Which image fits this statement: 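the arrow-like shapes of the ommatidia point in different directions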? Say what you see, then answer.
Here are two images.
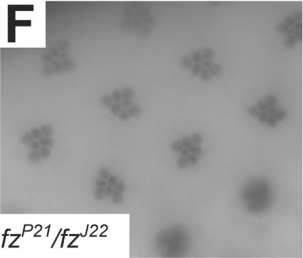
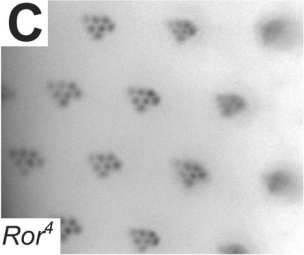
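First image: neighbouring trapezoid clusters are turned in various directions. Second image: the trapezoid clusters all share much the same orientation in regular rows. On this evidence: the first image.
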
